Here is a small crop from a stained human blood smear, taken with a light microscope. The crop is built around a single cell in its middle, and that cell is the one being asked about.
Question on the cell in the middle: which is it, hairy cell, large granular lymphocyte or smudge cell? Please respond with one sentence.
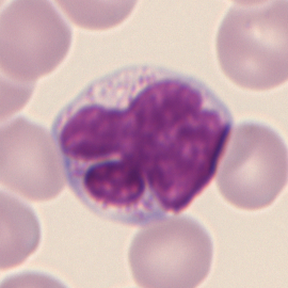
Standing at the centre of this crop is a large granular lymphocyte.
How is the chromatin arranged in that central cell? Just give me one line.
The chromatin is fine; coarse clumps are not a feature here.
